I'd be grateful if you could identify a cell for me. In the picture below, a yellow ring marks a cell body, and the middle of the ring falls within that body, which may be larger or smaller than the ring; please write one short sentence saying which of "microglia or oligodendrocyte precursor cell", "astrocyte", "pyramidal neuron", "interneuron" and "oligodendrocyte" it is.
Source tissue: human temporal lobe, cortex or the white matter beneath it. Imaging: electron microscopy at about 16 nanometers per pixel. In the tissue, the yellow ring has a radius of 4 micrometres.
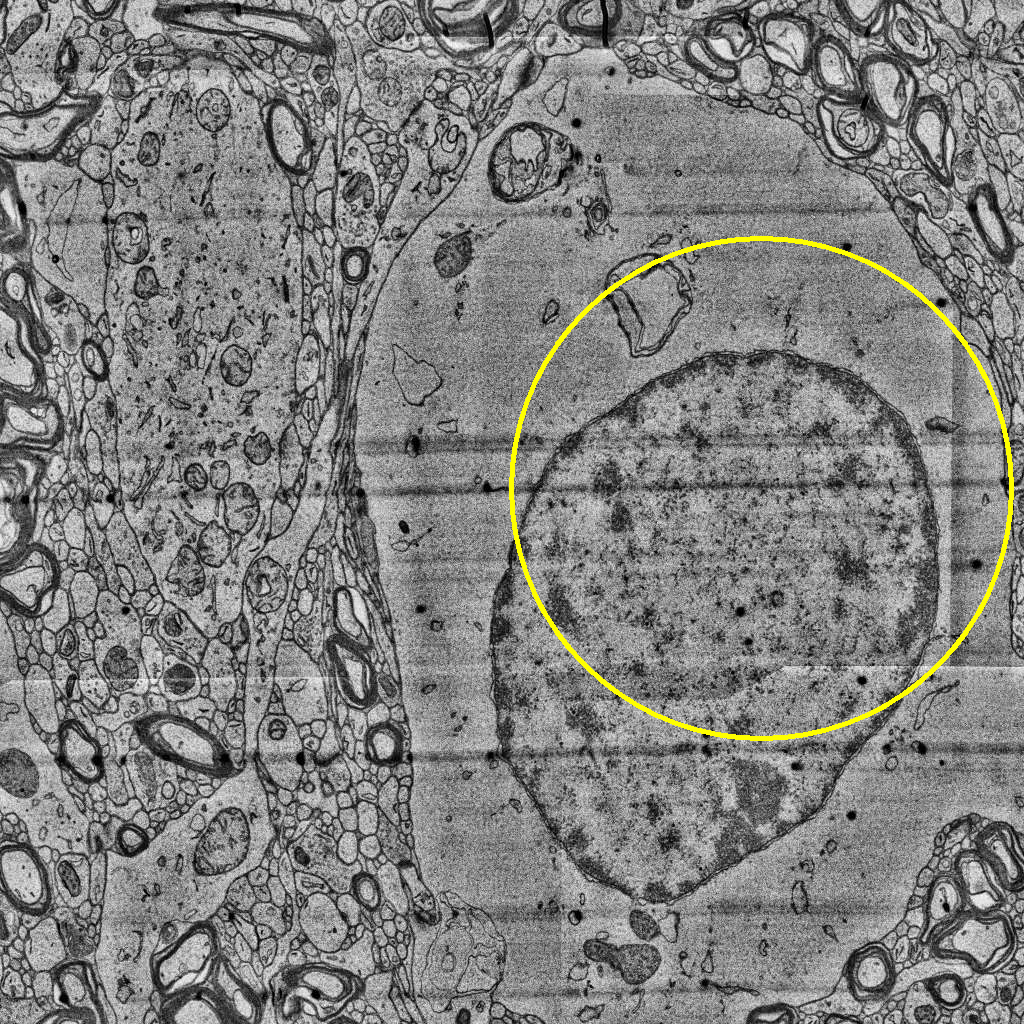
The cell under the ring's centre is an astrocyte.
